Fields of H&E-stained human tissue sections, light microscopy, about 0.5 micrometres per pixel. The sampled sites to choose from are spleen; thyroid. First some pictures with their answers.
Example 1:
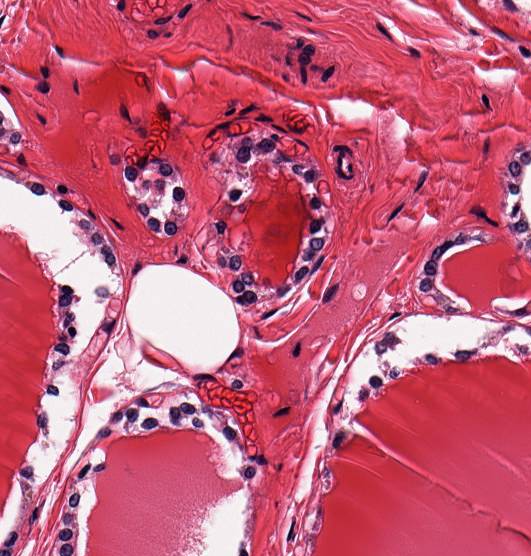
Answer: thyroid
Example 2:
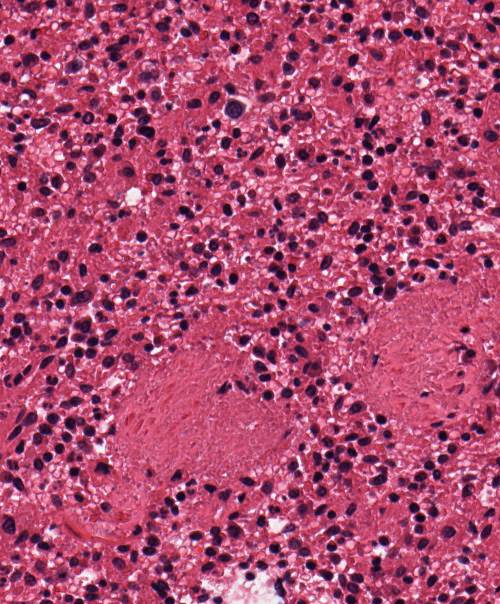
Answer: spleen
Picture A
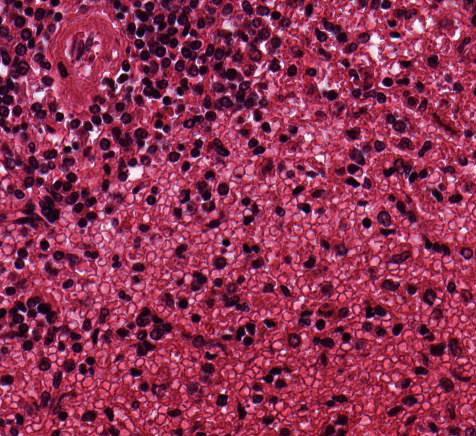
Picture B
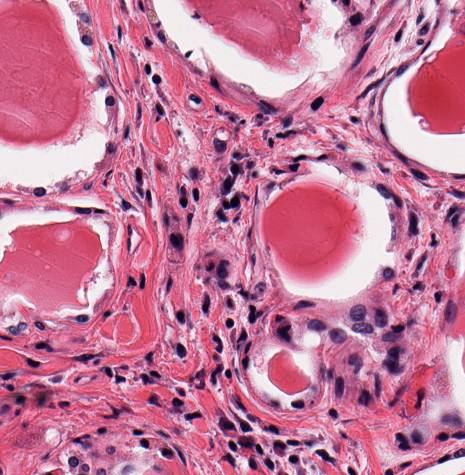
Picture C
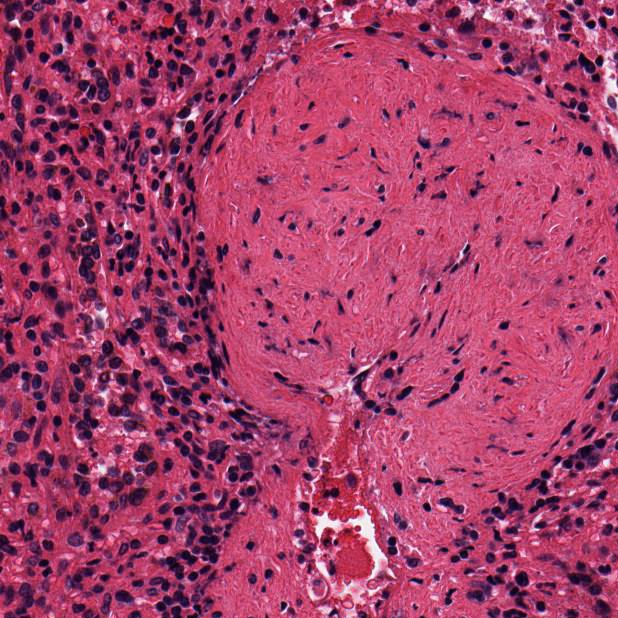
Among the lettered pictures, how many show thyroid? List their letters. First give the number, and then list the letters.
1, namely B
